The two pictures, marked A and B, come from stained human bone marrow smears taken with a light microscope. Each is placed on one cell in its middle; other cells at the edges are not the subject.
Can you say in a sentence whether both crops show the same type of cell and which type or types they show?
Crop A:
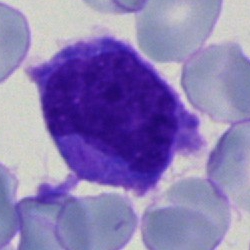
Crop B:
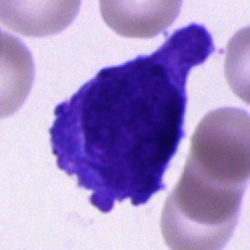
Yes, blasts are shown in both crops.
